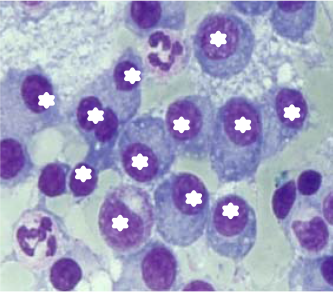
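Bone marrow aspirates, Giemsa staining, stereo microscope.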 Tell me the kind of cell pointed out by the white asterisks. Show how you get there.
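Many marked cells have round nuclei placed to one side of bluish cytoplasm. A cell with a lobed nucleus lies among them unmarked. The answer: plasma cells.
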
